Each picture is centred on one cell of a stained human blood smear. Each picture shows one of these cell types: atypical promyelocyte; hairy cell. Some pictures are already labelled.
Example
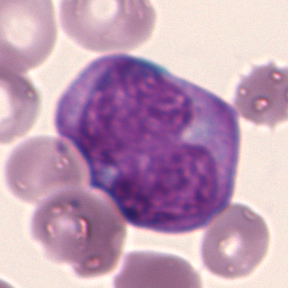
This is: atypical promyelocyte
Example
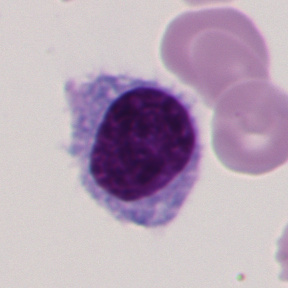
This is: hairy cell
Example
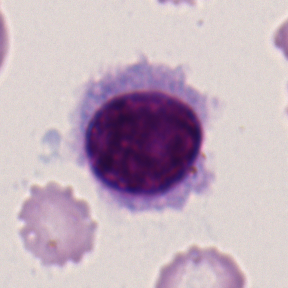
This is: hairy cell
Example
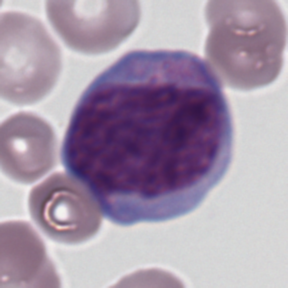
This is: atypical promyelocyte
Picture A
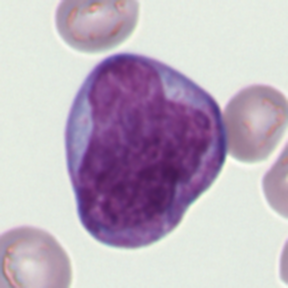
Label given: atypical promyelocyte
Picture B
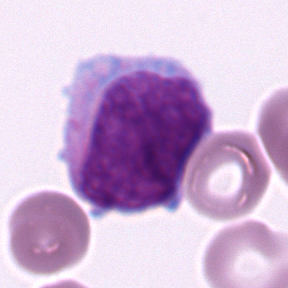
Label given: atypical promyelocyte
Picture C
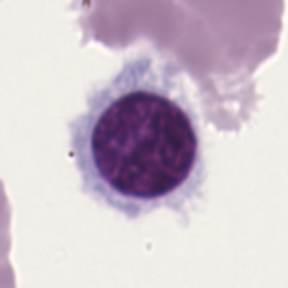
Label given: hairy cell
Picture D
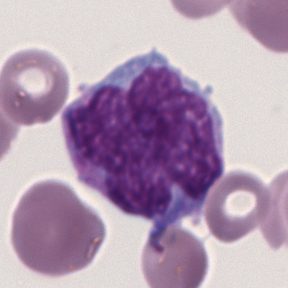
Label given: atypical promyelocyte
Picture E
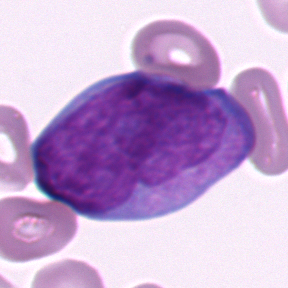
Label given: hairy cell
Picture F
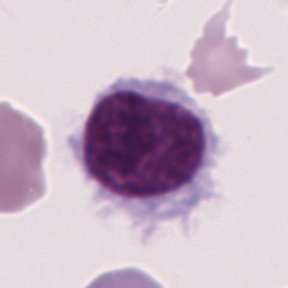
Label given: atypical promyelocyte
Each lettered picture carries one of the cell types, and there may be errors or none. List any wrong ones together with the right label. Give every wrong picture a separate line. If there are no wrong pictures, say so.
E is labelled hairy cell; correct label: atypical promyelocyte
F is labelled atypical promyelocyte; correct label: hairy cell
